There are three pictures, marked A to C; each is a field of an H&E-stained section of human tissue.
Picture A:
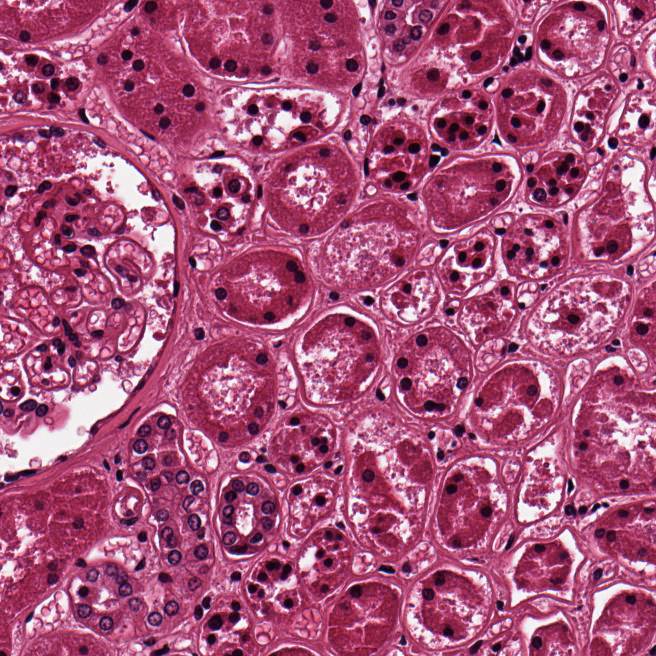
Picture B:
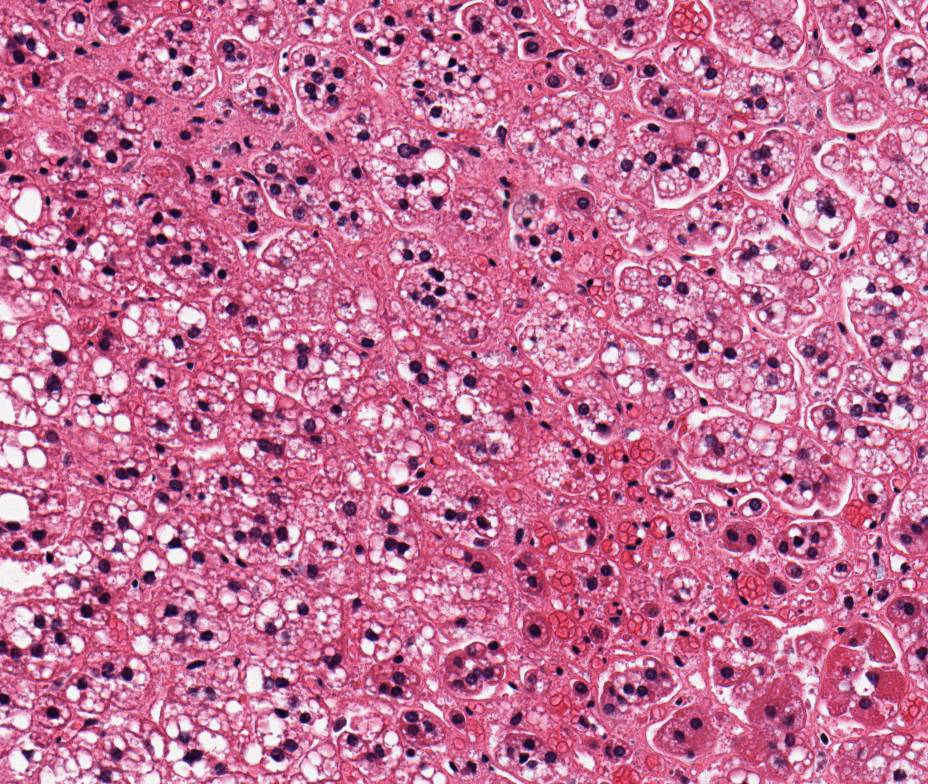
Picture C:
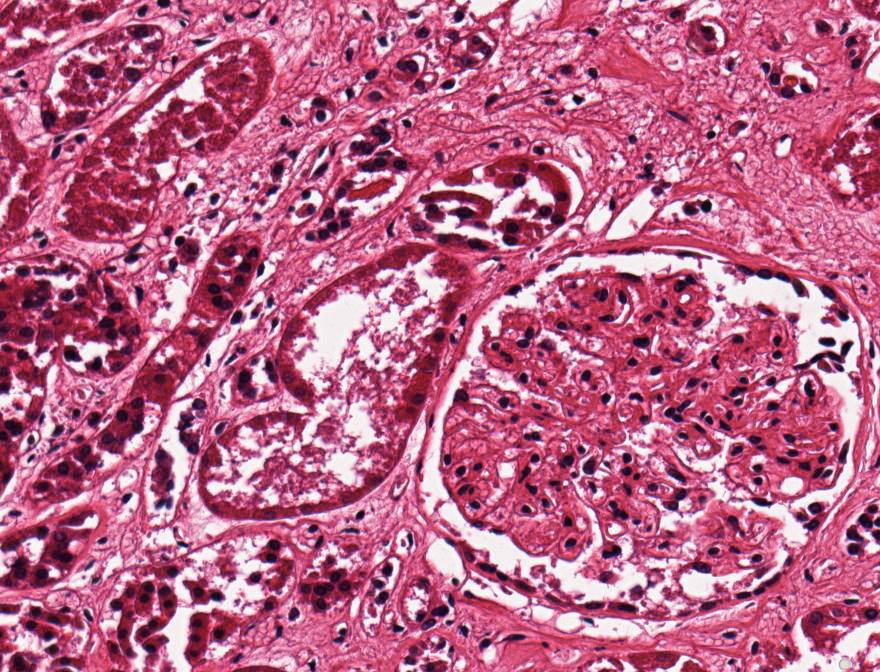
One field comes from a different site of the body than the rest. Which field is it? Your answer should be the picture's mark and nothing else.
B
